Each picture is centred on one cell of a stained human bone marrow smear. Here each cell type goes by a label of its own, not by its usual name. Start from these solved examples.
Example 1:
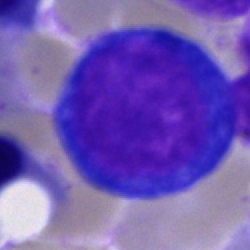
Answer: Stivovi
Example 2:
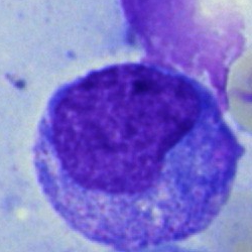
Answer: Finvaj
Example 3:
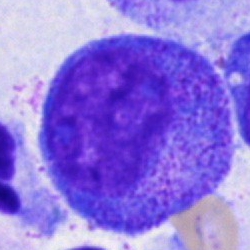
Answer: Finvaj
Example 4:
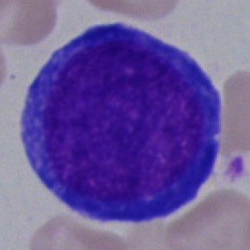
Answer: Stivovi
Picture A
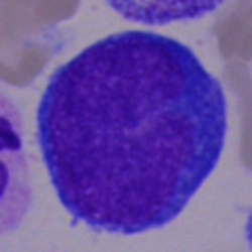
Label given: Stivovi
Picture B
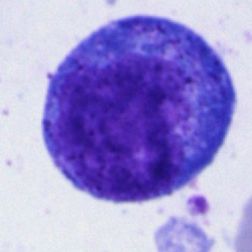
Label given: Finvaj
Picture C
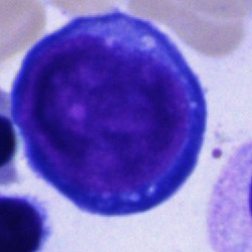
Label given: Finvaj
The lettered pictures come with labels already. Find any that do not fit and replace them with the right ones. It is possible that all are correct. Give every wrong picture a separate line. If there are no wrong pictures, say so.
Wrong: C (Finvaj); correct: Stivovi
